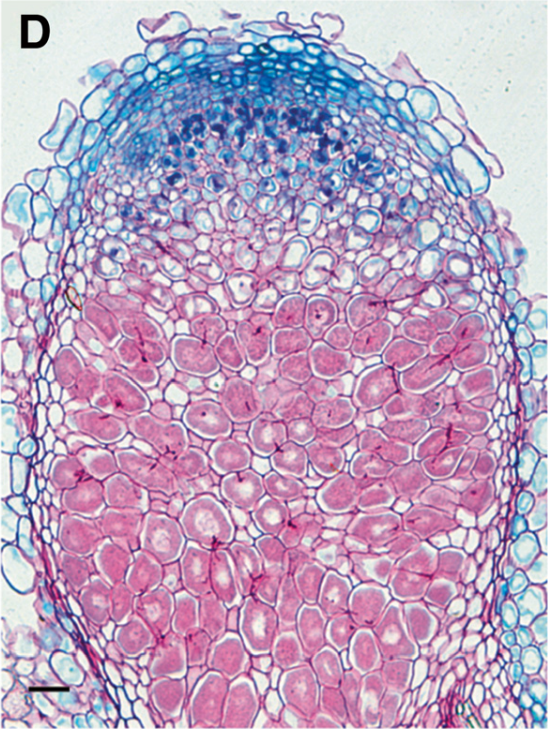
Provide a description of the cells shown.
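This is a lengthwise section through a mature root nodule, an elongated oval organ. Its apex holds a zone of small cells stained blue, with dark blue-purple dots scattered through the upper part. Below this, the centre is taken up by large, rounded cells densely filled with pink granular material, and some of them have pale spaces. Around the outside runs a rim of looser, vacuolated cells, several of which show a pale blue tint. At the lower edge of the section, fine vascular tissue can be seen near the base.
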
